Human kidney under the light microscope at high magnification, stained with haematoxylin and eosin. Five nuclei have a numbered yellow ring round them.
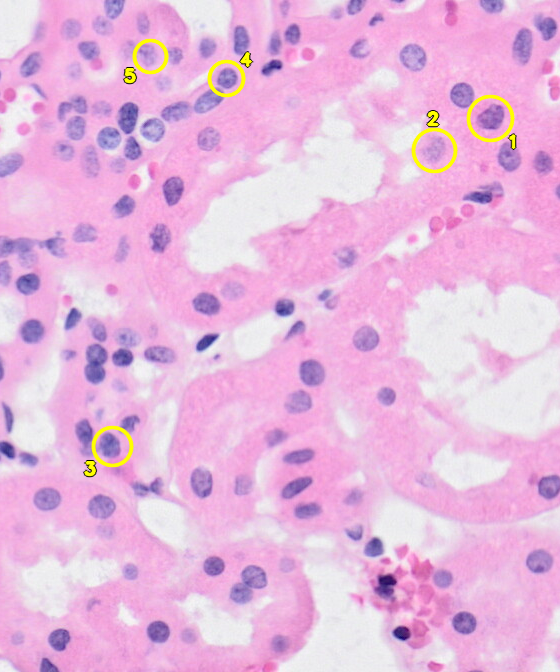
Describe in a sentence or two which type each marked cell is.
Cell 1 is a proximal tubule cell, cell 2 is a proximal tubule cell, cell 3 is a collecting duct cell, cell 4 is a collecting duct cell and cell 5 is a collecting duct cell.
